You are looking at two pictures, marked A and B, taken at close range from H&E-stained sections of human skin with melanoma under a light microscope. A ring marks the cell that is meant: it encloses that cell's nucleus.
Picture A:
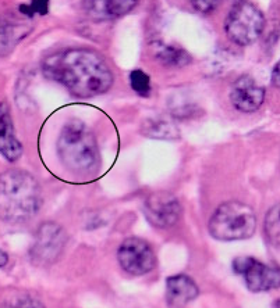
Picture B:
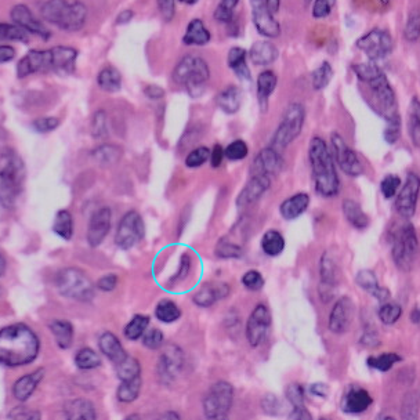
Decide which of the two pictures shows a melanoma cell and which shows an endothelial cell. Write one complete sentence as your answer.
Picture A is of a melanoma cell, and picture B is of an endothelial cell.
